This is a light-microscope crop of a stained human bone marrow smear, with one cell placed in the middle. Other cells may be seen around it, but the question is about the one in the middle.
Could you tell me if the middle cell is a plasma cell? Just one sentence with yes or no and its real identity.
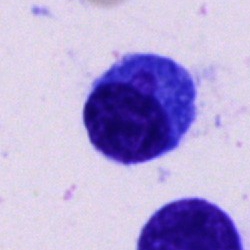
Yes, the centrally placed cell is a plasma cell.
